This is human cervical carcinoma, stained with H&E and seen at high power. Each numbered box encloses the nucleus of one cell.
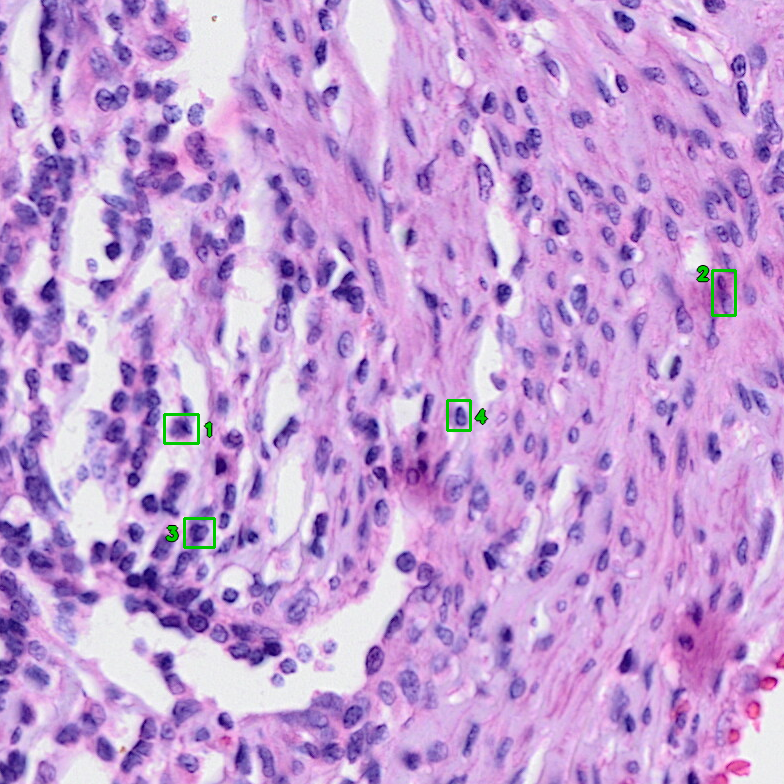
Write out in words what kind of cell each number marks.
Cells 1, 3 and 4 are lymphocytes. Cell 2 is a smooth muscle cell.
